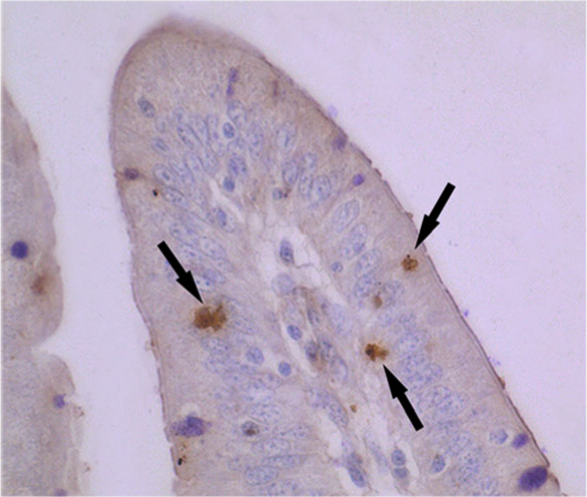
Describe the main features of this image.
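The tip of an intestinal villus is covered by a single layer of tall columnar cells whose elongated, pale blue oval nuclei stand crowded side by side, with a thin darker border along the free surface. In the core, a loose lamina propria holds scattered rounder nuclei and clear spaces.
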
